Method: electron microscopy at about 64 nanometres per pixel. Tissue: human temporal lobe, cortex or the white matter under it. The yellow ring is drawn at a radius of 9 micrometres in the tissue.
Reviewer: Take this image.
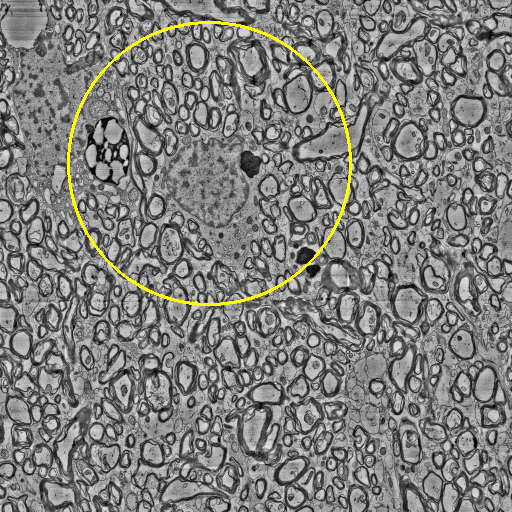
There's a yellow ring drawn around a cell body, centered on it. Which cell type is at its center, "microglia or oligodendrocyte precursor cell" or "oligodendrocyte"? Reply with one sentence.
At the center of the yellow ring is an oligodendrocyte.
